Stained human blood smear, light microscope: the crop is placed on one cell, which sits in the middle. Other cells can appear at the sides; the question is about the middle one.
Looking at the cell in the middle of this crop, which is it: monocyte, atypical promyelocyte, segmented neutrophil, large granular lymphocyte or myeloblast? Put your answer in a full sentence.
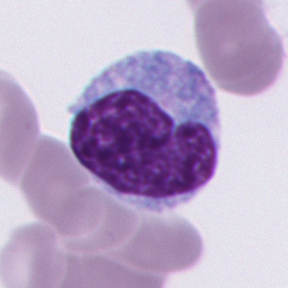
Where the crop is centred, there is a monocyte.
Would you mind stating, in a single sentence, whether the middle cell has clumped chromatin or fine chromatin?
Its chromatin is clumped in a coarse pattern.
